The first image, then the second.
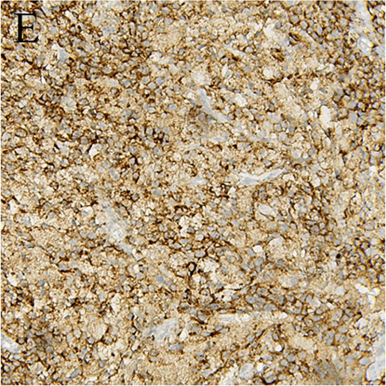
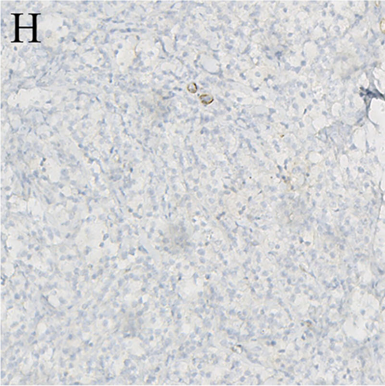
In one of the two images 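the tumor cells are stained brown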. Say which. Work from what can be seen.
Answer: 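Second image: cells are pale blue with almost no brown staining.
Hence: the first image.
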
